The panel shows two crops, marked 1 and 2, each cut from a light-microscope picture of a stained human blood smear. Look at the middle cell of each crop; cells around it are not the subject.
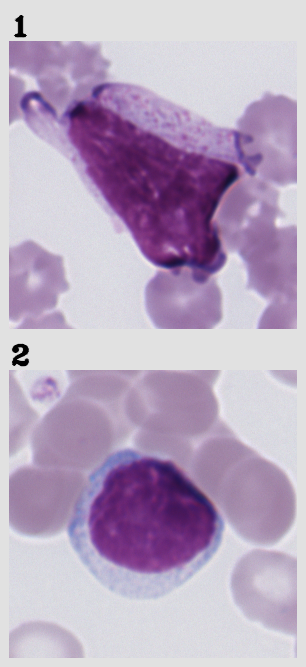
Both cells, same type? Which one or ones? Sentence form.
No, crop 1 shows a myelocyte, whereas in crop 2 the cell is a large granular lymphocyte.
